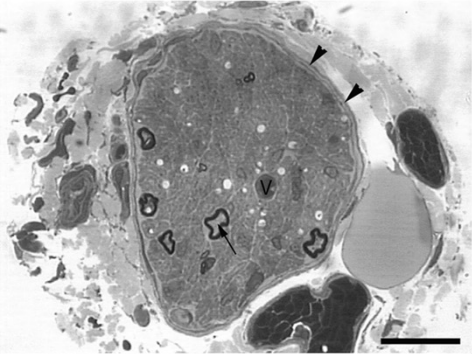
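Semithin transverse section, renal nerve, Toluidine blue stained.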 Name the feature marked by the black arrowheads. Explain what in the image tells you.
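A thin, dark, layered sheath encircles the whole fascicle. The arrowheads point to this sheath at the fascicle edge.
Answer: perineurium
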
